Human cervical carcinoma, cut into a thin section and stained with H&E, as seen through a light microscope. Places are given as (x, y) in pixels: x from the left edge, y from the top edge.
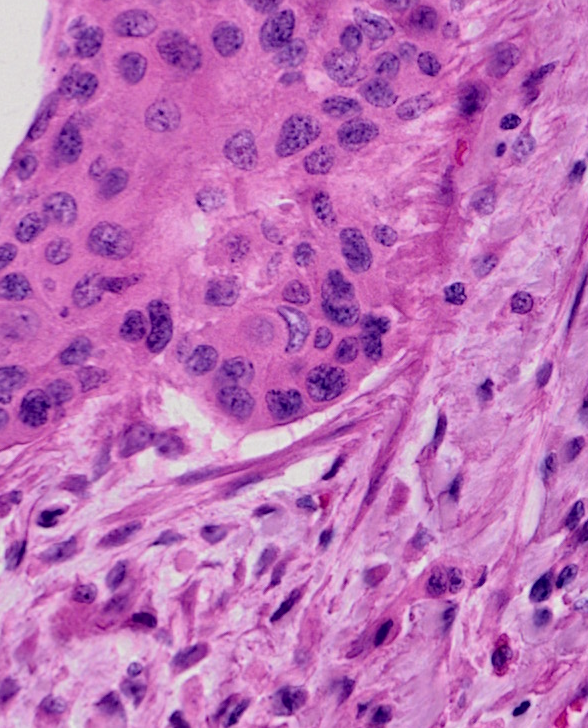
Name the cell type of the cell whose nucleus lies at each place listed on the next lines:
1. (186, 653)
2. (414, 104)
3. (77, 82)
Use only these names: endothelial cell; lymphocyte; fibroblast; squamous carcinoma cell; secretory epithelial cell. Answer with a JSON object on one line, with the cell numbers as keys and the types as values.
{"1": "fibroblast", "2": "squamous carcinoma cell", "3": "squamous carcinoma cell"}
